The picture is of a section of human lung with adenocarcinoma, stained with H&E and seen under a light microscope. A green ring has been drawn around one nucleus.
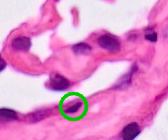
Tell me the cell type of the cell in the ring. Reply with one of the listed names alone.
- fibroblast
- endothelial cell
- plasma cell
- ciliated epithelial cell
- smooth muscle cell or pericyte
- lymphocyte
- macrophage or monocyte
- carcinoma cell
endothelial cell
